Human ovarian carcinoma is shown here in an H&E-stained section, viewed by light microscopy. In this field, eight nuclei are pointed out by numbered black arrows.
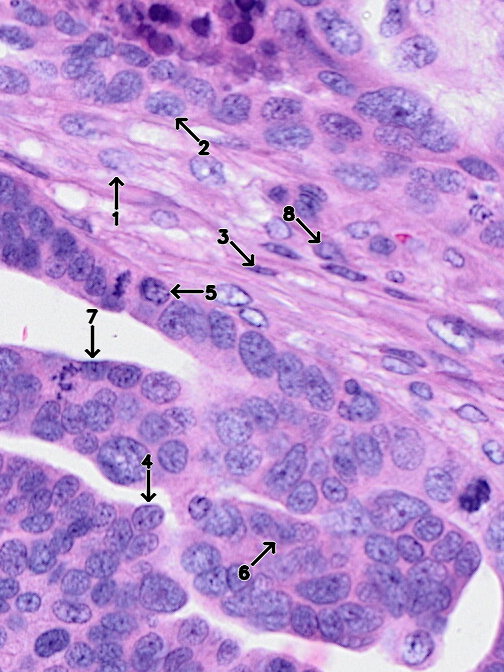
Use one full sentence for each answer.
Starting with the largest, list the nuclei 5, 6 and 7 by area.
By area, largest first, they run 5, 7, 6.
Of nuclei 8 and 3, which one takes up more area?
Number 8 is larger; its area is about 2.5 times that of number 3.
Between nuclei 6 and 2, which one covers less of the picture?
Nucleus 6 covers less area, with nucleus 2 about 3 times as large.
